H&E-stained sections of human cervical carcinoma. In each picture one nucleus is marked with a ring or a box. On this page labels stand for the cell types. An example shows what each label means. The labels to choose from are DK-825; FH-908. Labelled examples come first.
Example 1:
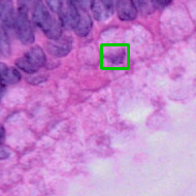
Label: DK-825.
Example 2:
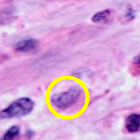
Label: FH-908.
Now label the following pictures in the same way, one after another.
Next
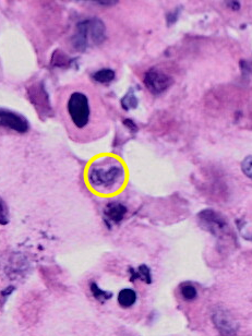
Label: FH-908.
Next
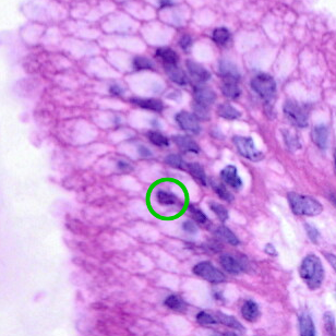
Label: DK-825.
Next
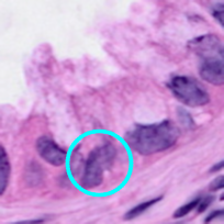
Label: DK-825.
